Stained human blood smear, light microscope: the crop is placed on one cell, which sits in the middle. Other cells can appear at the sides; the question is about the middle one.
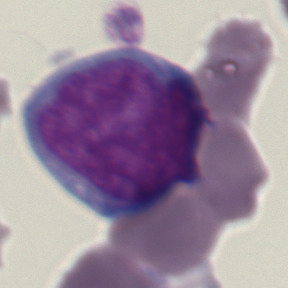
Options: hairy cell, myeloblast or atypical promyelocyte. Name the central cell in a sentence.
Among the cells in view, the one in the middle is a myeloblast.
